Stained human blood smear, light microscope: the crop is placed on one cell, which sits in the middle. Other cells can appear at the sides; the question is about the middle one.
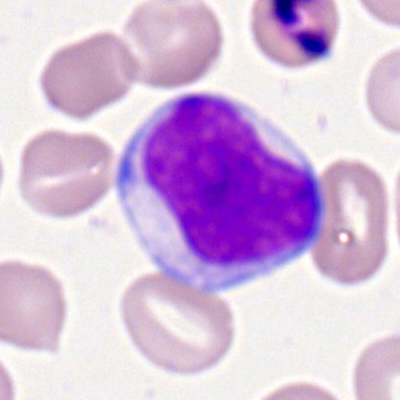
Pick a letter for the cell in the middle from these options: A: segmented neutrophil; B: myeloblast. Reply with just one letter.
B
